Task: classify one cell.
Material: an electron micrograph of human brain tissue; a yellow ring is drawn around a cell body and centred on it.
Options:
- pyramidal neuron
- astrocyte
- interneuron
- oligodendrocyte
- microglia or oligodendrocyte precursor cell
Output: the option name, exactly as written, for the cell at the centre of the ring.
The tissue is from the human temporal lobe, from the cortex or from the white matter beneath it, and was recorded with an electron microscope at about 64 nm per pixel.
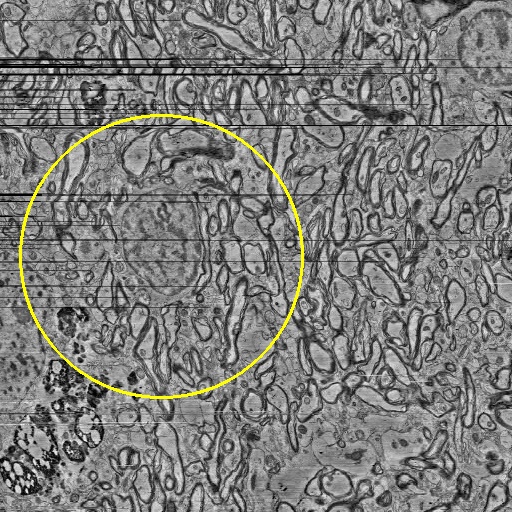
oligodendrocyte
